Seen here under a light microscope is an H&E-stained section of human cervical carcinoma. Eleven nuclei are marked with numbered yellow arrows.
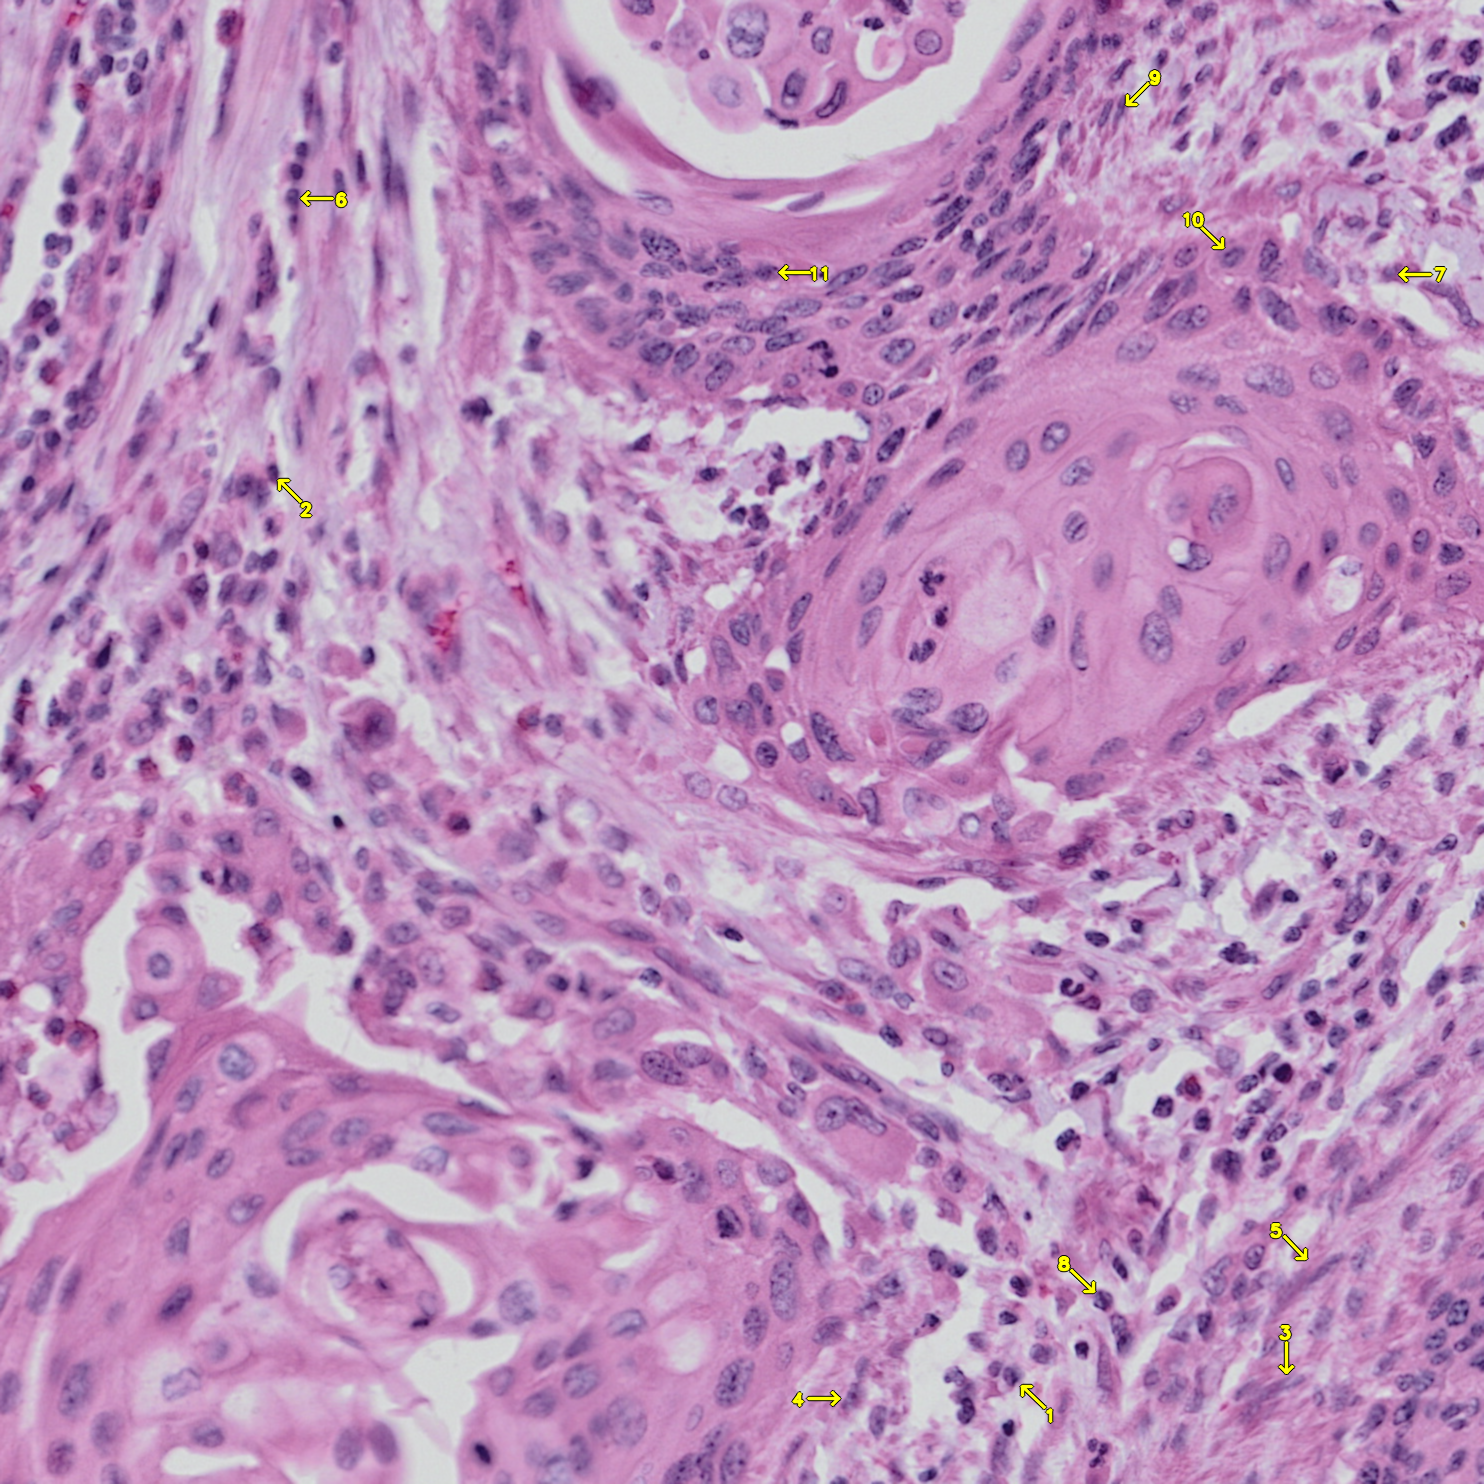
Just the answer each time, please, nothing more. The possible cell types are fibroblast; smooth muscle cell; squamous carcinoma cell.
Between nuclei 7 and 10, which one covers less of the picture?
7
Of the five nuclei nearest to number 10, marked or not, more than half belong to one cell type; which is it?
squamous carcinoma cell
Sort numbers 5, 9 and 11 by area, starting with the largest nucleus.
5, 11, 9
